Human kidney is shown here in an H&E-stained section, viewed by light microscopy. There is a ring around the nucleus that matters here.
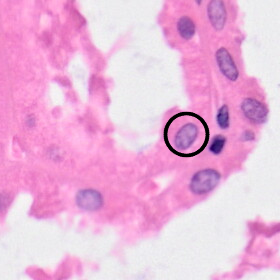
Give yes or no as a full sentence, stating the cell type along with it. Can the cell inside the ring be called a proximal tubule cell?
Yes, classifying the cell inside the ring as a proximal tubule cell is accurate.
